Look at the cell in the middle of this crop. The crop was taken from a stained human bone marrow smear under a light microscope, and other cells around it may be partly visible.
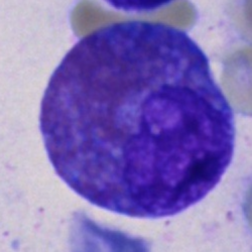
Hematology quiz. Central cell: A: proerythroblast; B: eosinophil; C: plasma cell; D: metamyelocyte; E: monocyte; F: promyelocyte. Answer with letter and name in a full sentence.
The cell in the middle is an eosinophil, so option B is correct.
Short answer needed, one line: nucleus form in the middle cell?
A single compact nucleus is present, shaped round, oval or like a kidney.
